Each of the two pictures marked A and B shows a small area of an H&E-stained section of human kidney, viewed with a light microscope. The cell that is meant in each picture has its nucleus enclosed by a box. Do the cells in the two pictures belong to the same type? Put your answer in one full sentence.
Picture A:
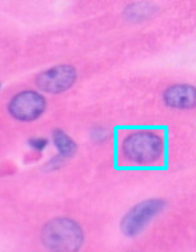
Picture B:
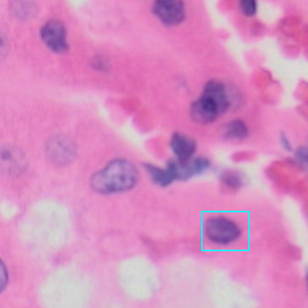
Yes, they are the same type: both are proximal tubule cells.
